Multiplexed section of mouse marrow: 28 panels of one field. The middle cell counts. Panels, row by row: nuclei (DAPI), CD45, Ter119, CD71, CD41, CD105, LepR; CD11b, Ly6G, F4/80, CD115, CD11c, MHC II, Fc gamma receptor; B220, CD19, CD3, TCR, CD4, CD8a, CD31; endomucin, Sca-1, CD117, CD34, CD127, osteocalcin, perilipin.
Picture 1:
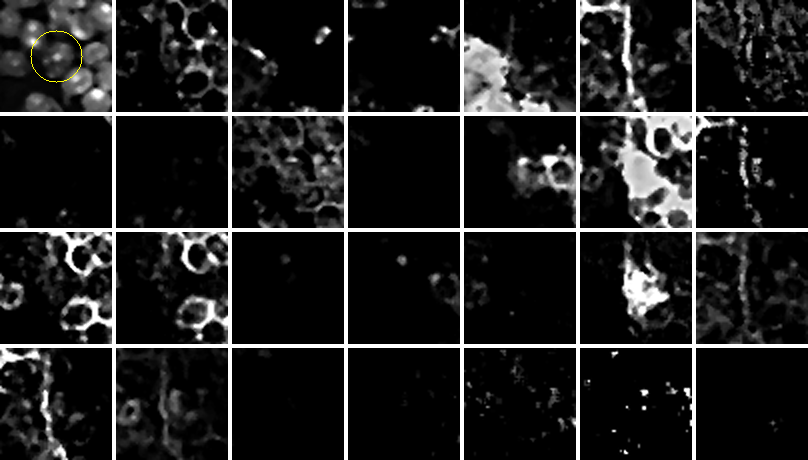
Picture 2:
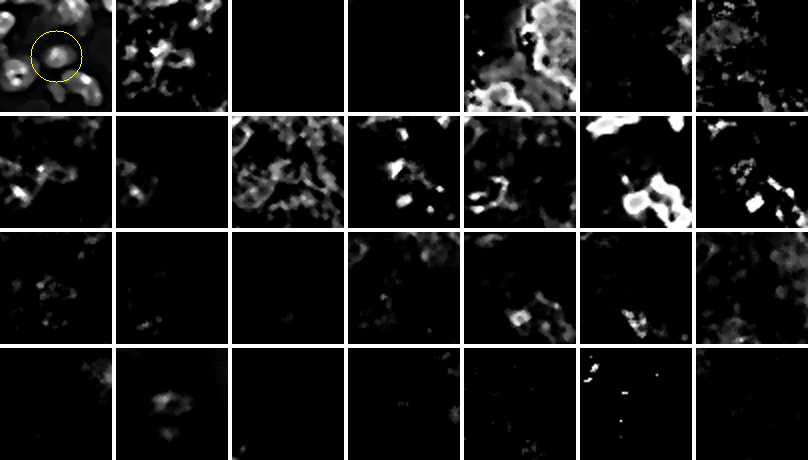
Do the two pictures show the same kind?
No: a capillary endothelial cell, then a monocyte.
